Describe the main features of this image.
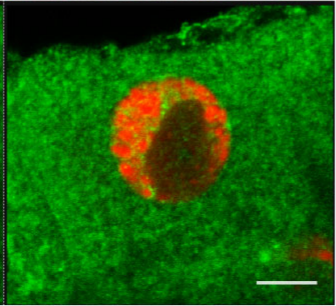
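The red material is patchy and crowded toward one side of the nucleus, leaving a darker region. The nucleus has little green in it and looks darker than the cytoplasm.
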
